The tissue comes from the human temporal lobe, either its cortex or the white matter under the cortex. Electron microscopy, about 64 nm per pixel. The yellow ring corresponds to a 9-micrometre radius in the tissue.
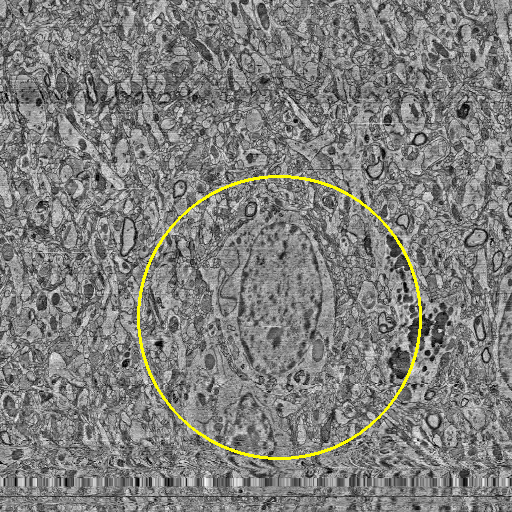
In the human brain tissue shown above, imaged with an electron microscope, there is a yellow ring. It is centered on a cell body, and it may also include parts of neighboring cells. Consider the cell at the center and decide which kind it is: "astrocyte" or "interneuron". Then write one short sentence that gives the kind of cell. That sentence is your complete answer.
This centered cell body is that of an astrocyte.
